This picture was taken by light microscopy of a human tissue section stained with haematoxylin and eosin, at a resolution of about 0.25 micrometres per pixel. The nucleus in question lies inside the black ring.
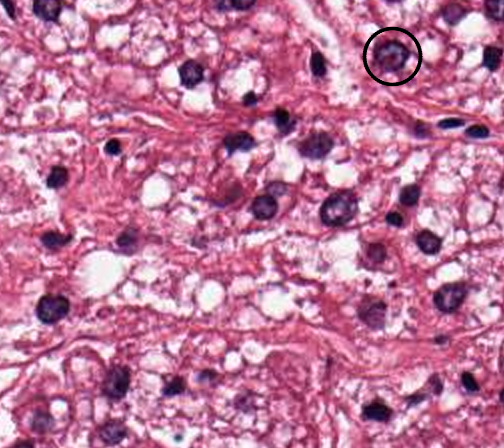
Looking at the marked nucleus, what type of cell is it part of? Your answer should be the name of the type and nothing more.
adrenal cortical cell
